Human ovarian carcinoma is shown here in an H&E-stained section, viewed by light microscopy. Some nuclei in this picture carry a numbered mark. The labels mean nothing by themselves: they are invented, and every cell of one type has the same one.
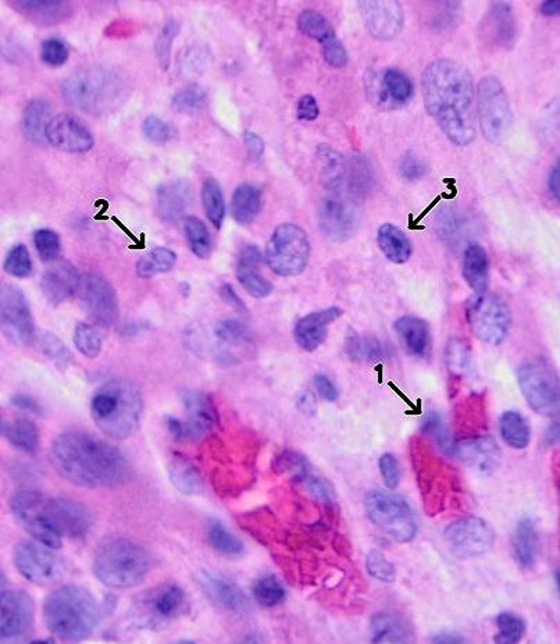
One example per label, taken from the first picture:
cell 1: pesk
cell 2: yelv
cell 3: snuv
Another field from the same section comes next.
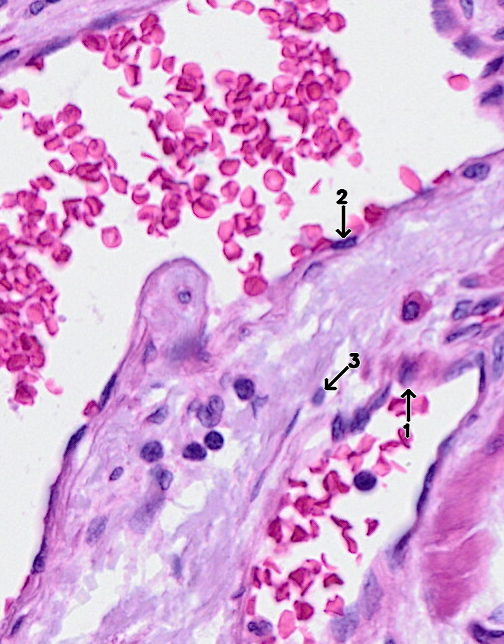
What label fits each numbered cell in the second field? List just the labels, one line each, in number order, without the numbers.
pesk
pesk
snuv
